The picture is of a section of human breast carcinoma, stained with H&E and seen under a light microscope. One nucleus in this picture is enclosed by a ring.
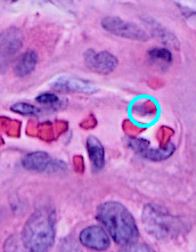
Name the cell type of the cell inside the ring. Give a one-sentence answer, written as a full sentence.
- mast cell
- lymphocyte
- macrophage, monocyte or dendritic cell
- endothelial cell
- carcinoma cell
Just put down that the cell inside the ring is an endothelial cell.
